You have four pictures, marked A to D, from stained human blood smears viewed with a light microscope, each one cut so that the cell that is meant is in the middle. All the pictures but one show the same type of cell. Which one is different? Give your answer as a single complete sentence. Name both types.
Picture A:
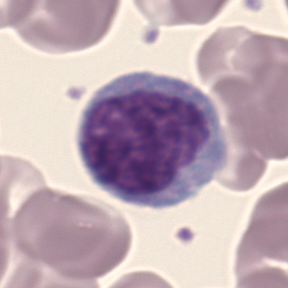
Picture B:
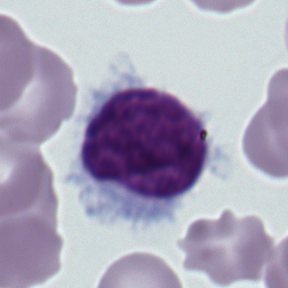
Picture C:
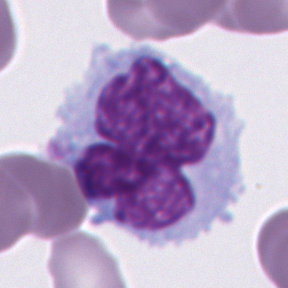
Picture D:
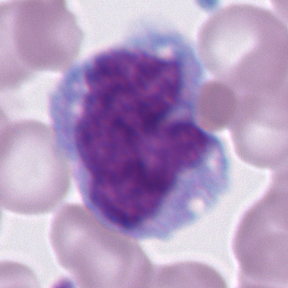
Picture B differs, because its cell is a hairy cell and the rest are monocytes.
